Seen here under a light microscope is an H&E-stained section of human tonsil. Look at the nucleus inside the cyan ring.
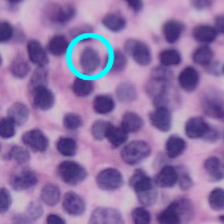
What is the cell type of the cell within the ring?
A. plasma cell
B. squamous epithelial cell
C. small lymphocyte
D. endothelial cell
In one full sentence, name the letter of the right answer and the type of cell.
In short, option C: the cell within the ring is a small lymphocyte.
